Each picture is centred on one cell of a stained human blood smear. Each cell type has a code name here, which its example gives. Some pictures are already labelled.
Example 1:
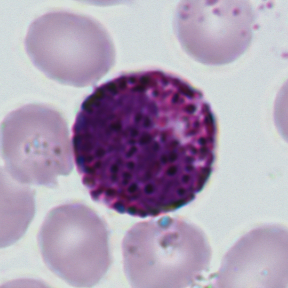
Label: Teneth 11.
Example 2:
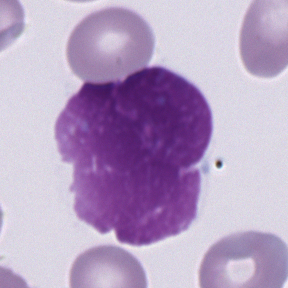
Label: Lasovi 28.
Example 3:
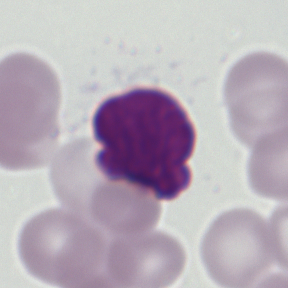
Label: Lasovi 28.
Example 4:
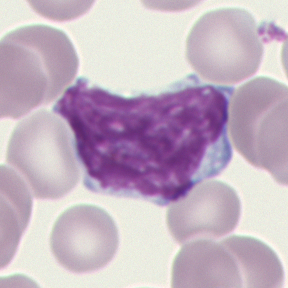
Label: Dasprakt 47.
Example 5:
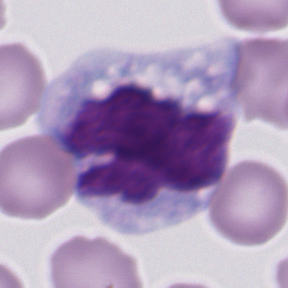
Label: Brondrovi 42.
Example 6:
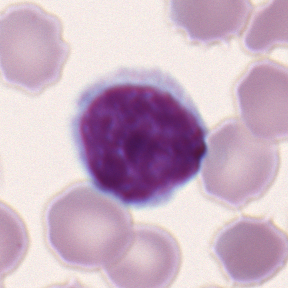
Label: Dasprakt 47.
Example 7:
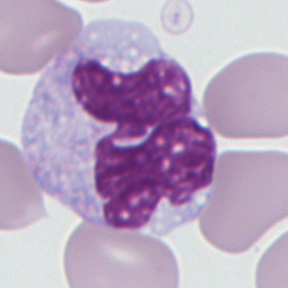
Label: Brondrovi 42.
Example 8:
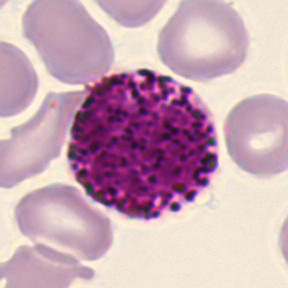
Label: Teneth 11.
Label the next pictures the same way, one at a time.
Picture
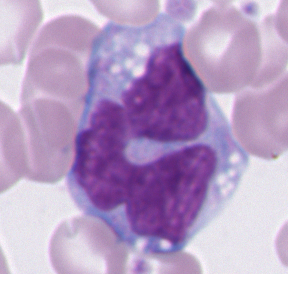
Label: Brondrovi 42.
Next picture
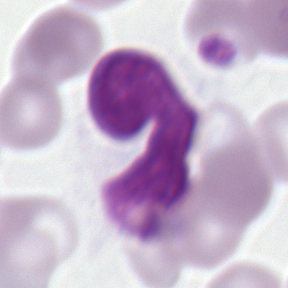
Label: Lasovi 28.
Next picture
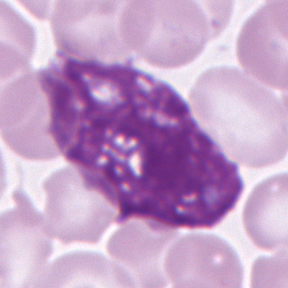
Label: Lasovi 28.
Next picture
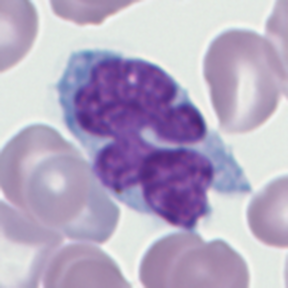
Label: Brondrovi 42.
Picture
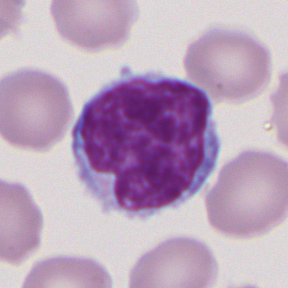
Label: Dasprakt 47.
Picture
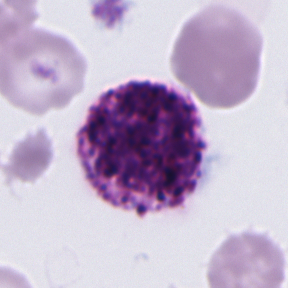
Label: Teneth 11.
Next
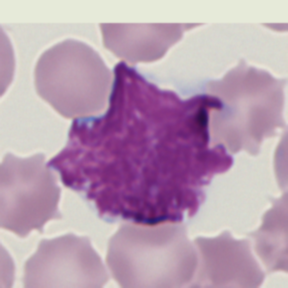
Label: Lasovi 28.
